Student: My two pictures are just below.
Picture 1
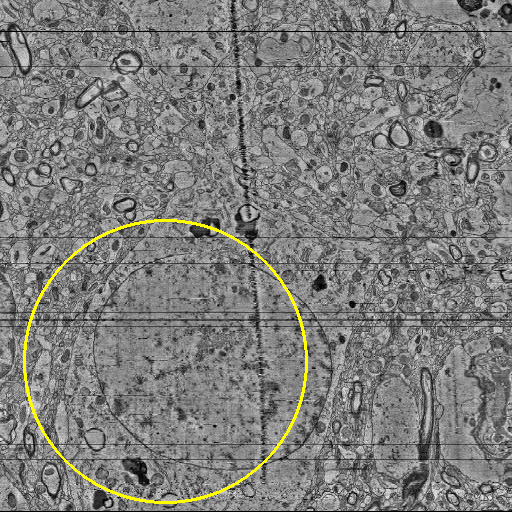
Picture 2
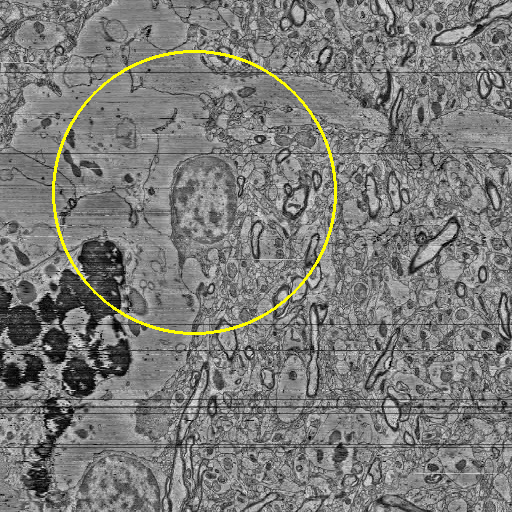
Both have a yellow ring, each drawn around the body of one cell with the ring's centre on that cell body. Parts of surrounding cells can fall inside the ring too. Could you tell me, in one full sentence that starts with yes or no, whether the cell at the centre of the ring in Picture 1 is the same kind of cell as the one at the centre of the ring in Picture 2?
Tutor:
No, the two cells are of two kinds.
